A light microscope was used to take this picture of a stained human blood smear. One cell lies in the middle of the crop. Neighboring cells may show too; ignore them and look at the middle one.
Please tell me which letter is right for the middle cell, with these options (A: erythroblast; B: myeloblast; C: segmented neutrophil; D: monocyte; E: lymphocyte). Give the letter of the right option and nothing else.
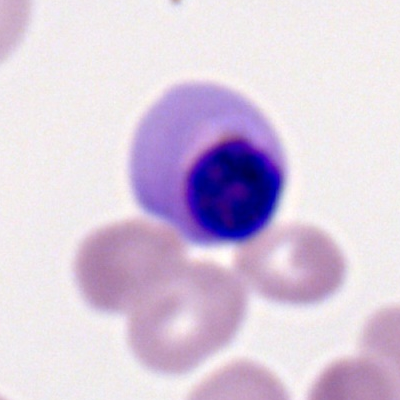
A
